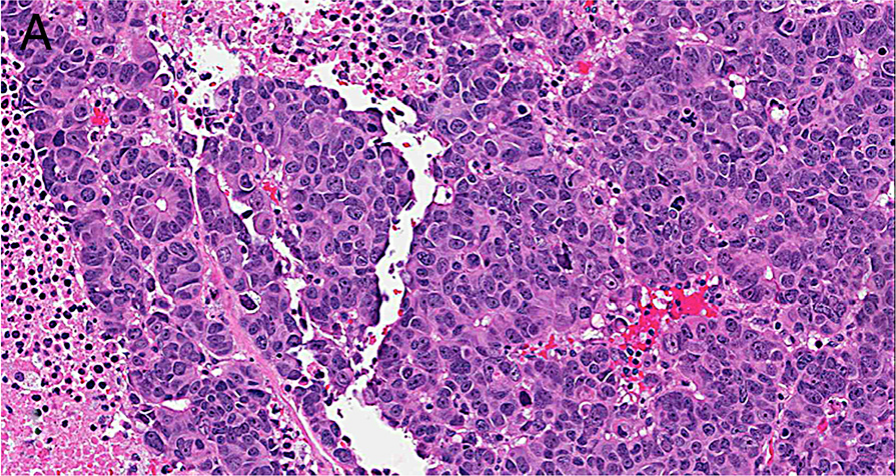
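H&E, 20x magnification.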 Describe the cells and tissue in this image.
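This is a high-grade carcinoma made of crowded large tumor cells growing in solid sheets and nests, with some cells lined up radially around small lumens in a pseudoglandular fashion. The nuclei are large, vesicular and crowded, with coarse chromatin and conspicuous nucleoli, and the cells have a moderate amount of pink to purple cytoplasm. At the left edge there is pink necrotic debris with scattered dark nuclear fragments. Small collections of red blood cells are scattered among the tumor cells.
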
